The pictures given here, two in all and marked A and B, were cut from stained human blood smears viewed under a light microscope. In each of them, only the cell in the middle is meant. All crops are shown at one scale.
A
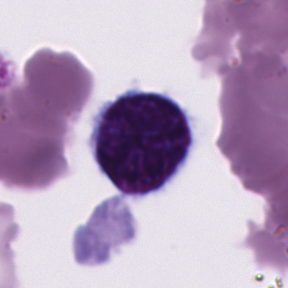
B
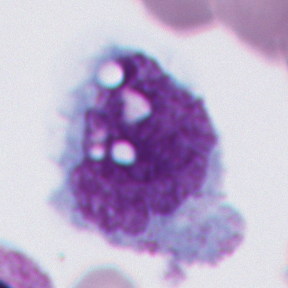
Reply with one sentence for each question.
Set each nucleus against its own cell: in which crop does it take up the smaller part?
In crop B the nucleus takes up the smaller part of its cell.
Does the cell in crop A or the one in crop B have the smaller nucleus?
Smaller is the nucleus in crop A, and the other is about 2 times as large in area.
